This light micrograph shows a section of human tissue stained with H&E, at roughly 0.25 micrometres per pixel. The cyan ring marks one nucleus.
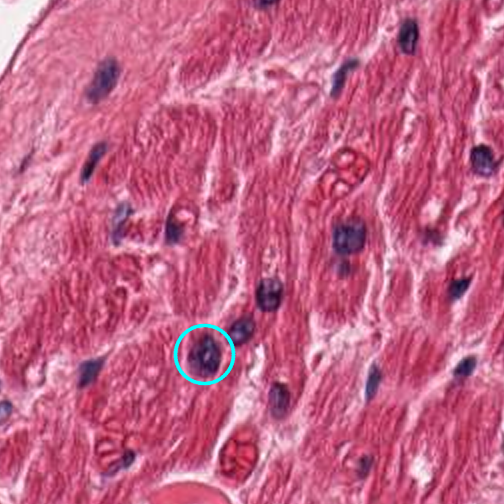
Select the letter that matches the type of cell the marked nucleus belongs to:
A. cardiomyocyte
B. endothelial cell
A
